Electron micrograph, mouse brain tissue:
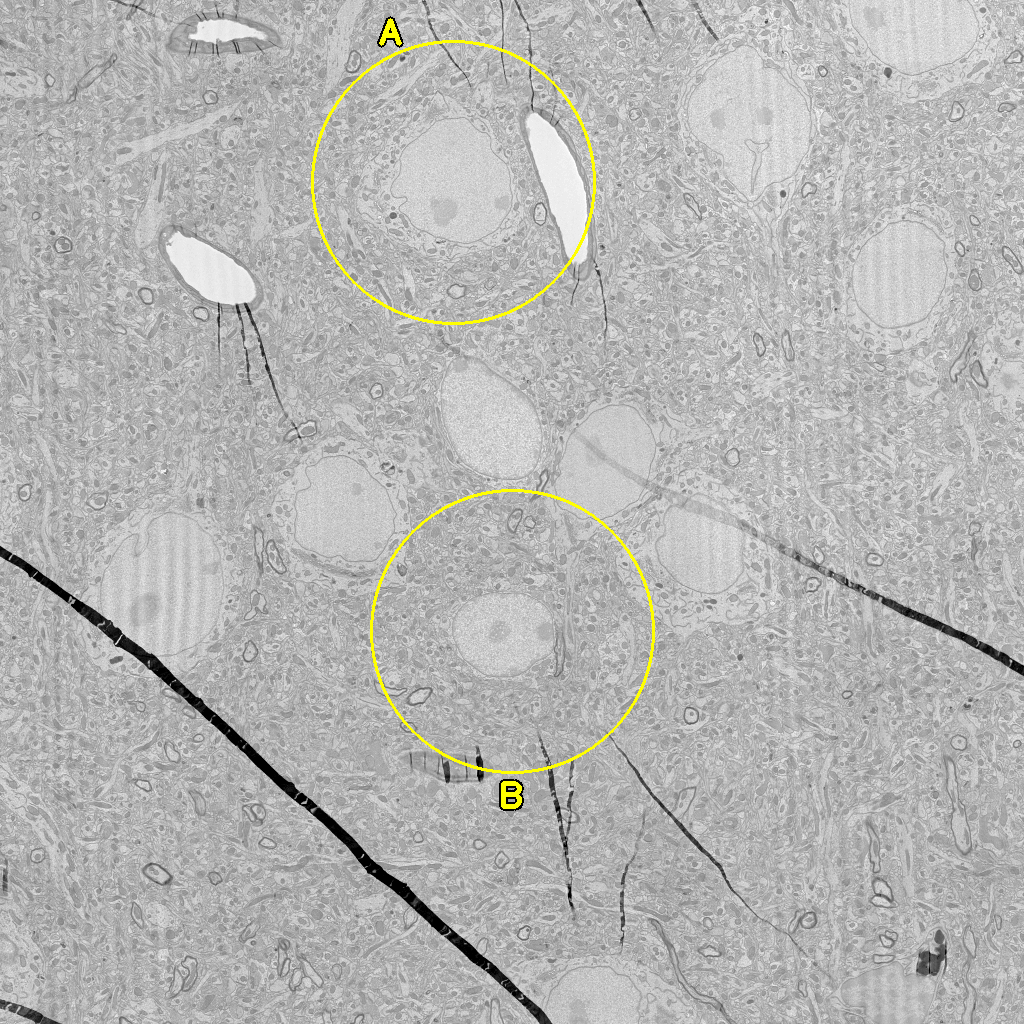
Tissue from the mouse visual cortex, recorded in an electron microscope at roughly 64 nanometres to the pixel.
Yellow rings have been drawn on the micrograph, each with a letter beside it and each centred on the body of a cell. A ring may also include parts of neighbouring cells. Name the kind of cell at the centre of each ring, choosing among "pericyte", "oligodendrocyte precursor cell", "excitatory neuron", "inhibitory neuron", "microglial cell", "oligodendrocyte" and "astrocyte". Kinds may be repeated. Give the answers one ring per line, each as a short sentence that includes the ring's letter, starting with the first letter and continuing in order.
Ring A is placed on an excitatory neuron.
Ring B is placed on an astrocyte.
